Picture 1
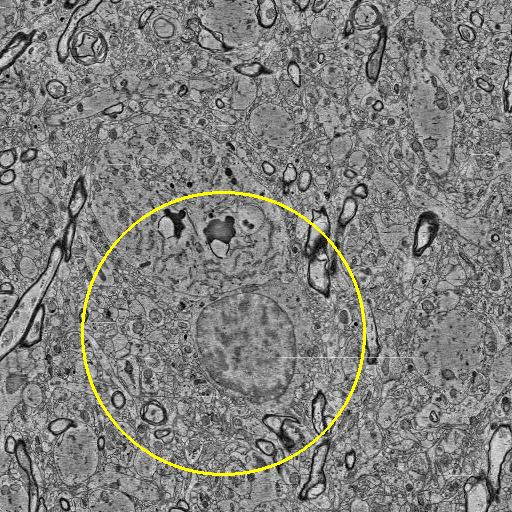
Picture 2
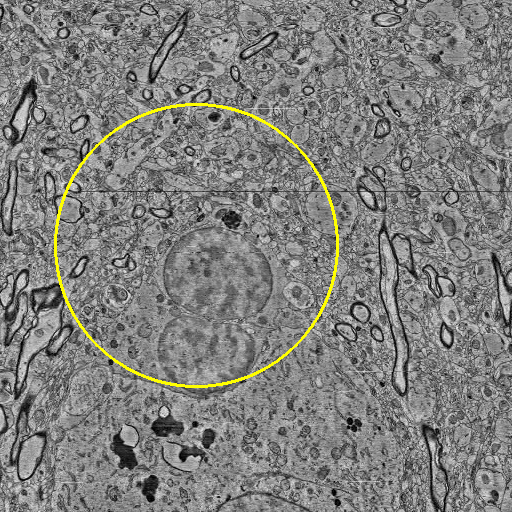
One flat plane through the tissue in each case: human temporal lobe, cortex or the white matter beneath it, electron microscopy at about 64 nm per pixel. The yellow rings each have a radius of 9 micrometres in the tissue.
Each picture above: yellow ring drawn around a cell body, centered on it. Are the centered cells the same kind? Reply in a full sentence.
Yes, the two cells are the same kind.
